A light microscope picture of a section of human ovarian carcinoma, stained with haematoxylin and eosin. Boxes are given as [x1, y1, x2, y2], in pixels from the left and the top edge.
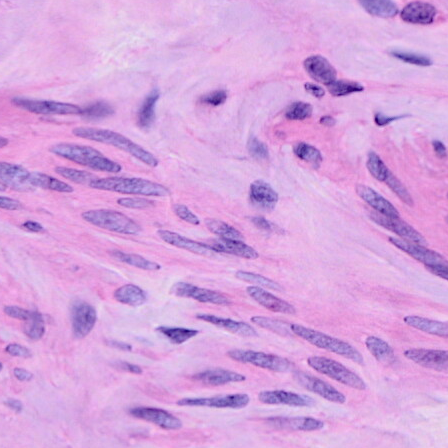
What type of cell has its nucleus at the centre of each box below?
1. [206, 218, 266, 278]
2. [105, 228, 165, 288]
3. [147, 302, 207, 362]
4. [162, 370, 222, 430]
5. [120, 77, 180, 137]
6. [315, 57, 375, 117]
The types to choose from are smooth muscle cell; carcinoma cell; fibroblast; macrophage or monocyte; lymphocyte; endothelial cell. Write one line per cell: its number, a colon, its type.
1: smooth muscle cell
2: smooth muscle cell
3: fibroblast
4: smooth muscle cell
5: fibroblast
6: endothelial cell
